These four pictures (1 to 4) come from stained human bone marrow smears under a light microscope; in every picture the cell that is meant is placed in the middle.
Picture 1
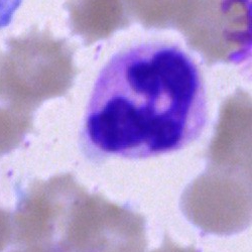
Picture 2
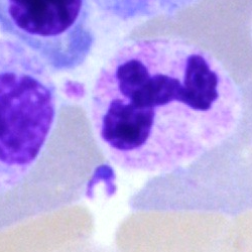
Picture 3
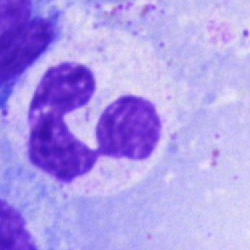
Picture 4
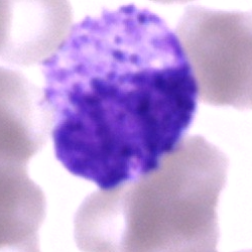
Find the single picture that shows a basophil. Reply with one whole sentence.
The basophil is the one in picture 4.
